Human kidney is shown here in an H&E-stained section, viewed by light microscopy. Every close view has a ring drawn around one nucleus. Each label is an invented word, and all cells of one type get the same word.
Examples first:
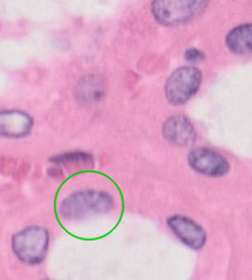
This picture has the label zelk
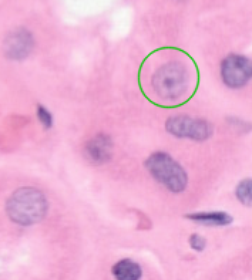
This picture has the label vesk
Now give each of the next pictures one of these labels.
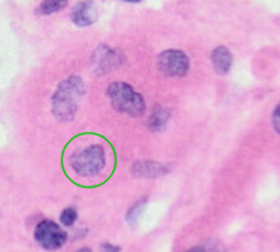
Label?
zelk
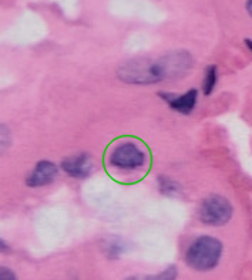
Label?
zelk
